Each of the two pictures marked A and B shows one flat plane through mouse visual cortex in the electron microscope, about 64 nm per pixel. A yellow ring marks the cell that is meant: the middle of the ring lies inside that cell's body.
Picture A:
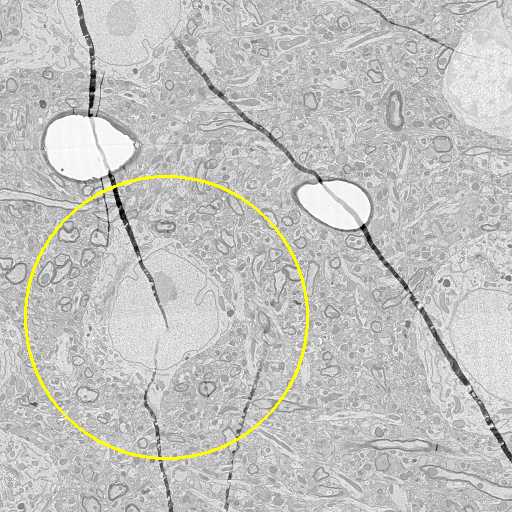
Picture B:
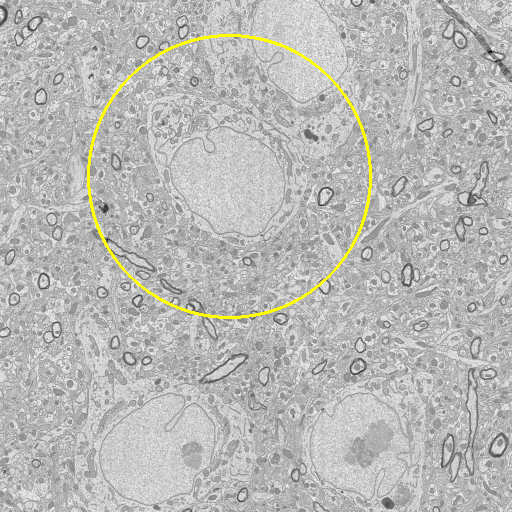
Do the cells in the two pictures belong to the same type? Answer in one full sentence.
No, the types are not the same, since picture A shows an excitatory neuron and picture B an inhibitory neuron.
